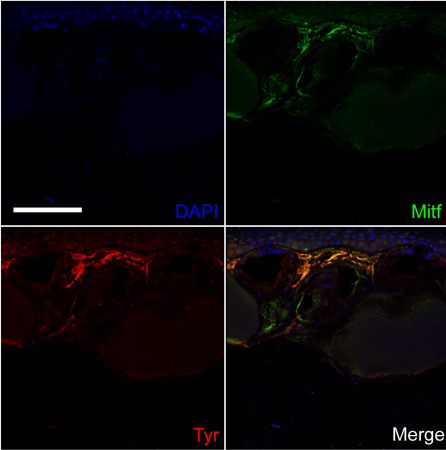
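Blue nuclei are faint and sparse. Red and green labelled cells form thin, wispy streaks in the dermis just beneath the surface. These streaks run around the outlines of rounded glands. In the merged image, red and green overlap in a yellow-orange colour along these streaks.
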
